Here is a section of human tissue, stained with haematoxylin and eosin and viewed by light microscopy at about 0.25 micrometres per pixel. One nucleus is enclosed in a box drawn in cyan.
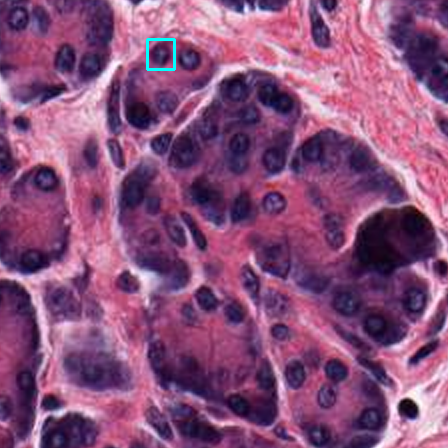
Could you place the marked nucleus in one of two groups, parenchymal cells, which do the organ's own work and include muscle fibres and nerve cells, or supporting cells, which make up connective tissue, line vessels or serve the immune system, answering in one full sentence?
The marked nucleus is found in a parenchymal cell, namely a pancreatic acinar cell.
